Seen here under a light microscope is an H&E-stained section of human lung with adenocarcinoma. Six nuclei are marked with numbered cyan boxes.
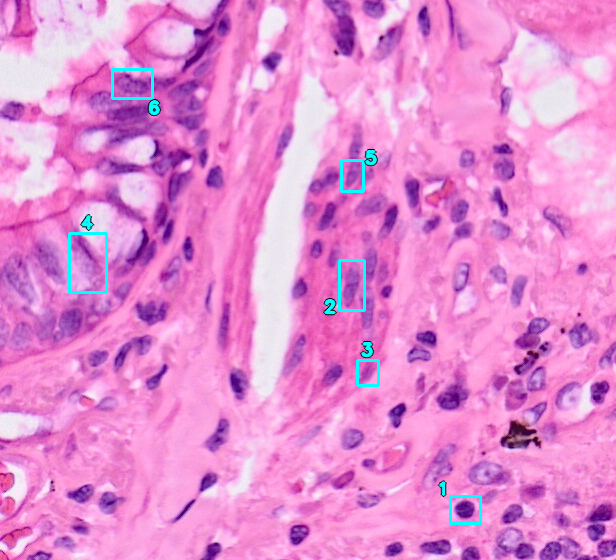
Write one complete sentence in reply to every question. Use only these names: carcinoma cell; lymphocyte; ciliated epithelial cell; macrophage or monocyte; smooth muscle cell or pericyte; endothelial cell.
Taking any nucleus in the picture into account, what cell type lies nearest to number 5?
It is a smooth muscle cell or pericyte whose nucleus is nearest to number 5.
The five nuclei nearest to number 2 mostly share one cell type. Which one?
Around number 2, most of the five nearest nuclei are those of smooth muscle cells or pericytes.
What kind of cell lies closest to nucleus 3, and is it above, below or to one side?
The closest nucleus belongs to a smooth muscle cell or pericyte and sits to the left of nucleus 3.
